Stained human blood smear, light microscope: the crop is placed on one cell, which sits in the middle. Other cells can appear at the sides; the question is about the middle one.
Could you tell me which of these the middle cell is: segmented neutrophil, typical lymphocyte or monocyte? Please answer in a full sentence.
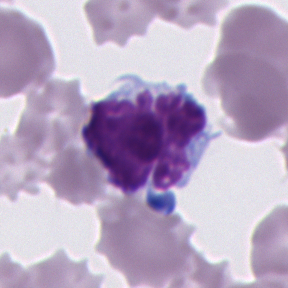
The middle position in this crop is taken by a typical lymphocyte.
